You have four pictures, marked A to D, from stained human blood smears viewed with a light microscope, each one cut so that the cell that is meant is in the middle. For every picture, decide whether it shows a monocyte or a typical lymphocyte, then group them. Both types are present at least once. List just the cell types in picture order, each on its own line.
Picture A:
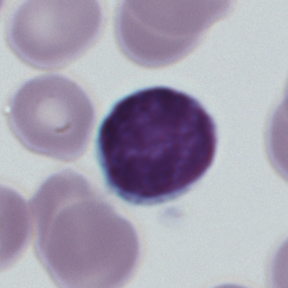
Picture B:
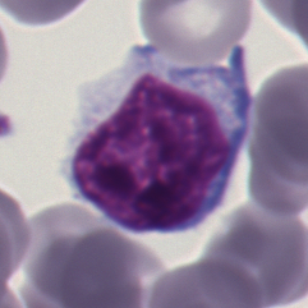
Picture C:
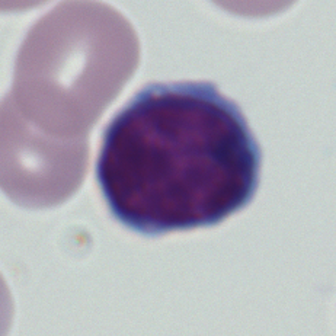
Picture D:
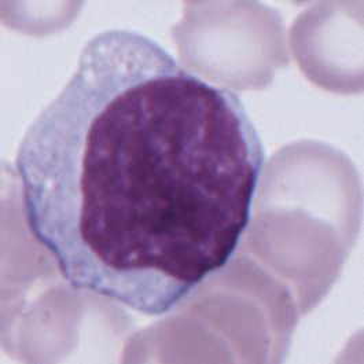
typical lymphocyte
typical lymphocyte
typical lymphocyte
monocyte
